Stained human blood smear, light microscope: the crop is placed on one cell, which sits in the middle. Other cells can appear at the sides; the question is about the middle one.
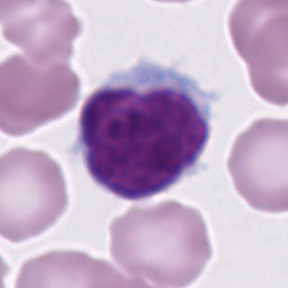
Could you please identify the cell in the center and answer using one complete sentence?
The cell under consideration, at the middle of the crop, is a hairy cell.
